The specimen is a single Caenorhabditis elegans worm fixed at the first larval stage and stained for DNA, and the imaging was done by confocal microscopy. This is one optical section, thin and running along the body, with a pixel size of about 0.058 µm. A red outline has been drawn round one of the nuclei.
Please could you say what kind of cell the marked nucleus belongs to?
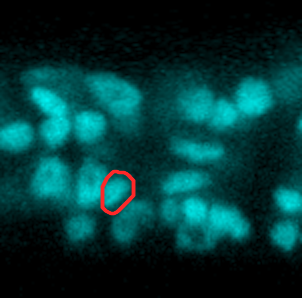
neuron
